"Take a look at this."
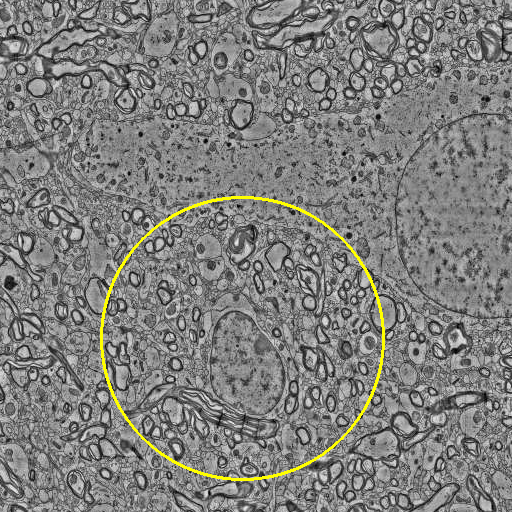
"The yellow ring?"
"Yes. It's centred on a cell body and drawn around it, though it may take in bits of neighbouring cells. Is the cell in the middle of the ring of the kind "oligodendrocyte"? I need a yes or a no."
No, it is of another kind.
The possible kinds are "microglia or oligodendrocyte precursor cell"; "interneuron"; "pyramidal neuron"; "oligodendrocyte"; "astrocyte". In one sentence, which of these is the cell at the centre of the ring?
The cell in the ring is a microglial cell or oligodendrocyte precursor cell instead.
